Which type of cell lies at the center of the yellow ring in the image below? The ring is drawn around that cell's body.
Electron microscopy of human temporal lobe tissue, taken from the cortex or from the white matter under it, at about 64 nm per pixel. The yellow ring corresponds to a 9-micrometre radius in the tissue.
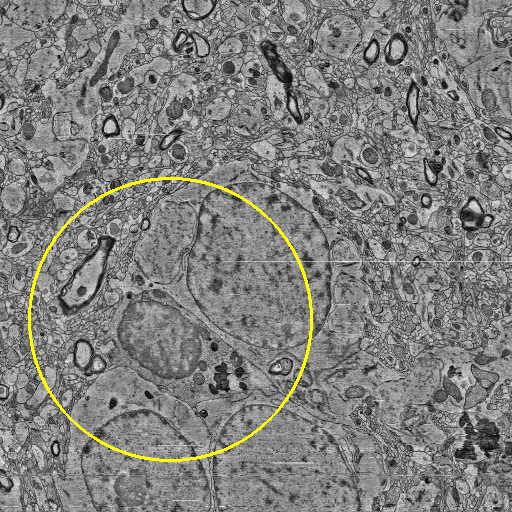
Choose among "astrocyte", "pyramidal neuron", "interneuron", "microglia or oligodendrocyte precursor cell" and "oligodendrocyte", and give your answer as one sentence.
The cell body at the center belongs to an oligodendrocyte.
